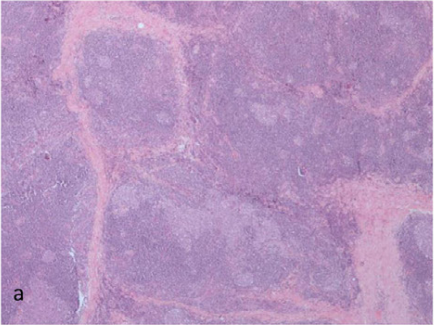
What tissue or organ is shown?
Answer: cellular lymphoid nodules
